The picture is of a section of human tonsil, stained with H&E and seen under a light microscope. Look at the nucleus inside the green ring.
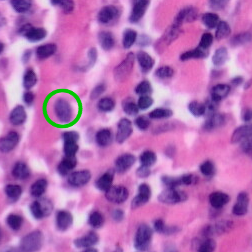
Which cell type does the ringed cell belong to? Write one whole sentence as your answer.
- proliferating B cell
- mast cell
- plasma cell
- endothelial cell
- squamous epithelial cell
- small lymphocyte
On this particular slide, the ringed cell is a mast cell.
